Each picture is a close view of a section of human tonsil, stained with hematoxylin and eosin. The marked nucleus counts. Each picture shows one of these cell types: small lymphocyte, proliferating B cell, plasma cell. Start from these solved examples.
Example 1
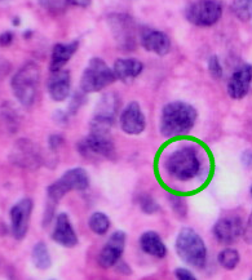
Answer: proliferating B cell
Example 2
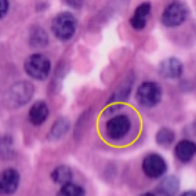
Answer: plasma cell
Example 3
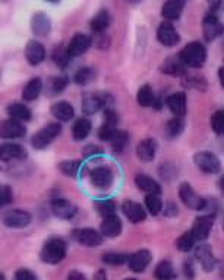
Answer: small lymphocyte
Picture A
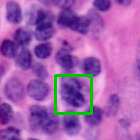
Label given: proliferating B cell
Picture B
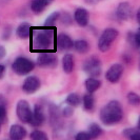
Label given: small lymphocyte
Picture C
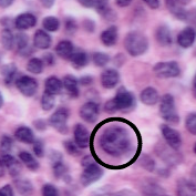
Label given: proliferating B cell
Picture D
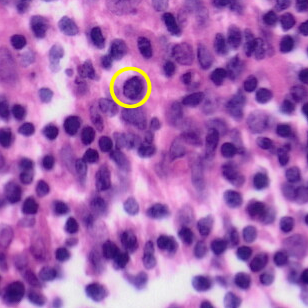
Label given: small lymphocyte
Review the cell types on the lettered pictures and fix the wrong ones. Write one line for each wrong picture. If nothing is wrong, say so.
D: proliferating B cell, not small lymphocyte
